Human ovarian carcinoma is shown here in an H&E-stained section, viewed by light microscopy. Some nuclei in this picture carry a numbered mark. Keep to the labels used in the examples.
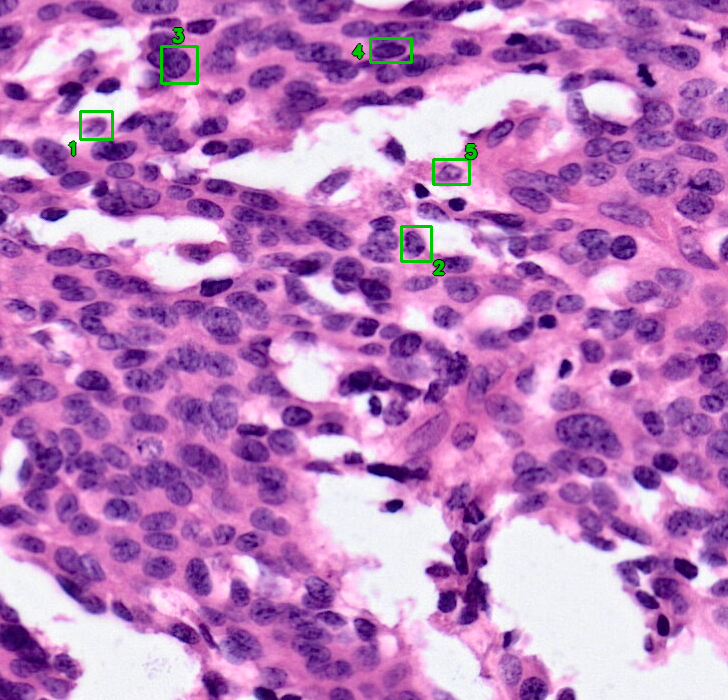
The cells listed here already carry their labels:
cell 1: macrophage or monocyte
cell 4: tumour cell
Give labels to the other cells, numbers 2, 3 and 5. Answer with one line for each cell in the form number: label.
2: macrophage or monocyte
3: tumour cell
5: macrophage or monocyte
